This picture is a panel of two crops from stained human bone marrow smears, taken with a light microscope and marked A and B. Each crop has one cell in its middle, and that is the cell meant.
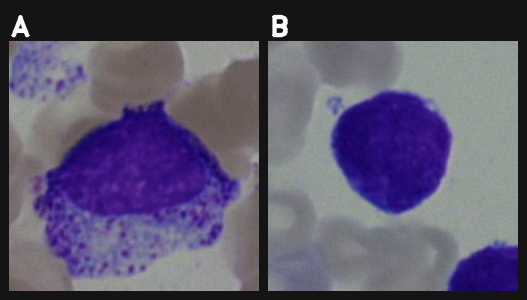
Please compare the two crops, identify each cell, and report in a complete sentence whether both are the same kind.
No, the middle of crop A holds a myelocyte, and the middle of crop B holds a blast.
